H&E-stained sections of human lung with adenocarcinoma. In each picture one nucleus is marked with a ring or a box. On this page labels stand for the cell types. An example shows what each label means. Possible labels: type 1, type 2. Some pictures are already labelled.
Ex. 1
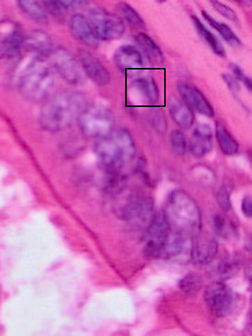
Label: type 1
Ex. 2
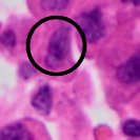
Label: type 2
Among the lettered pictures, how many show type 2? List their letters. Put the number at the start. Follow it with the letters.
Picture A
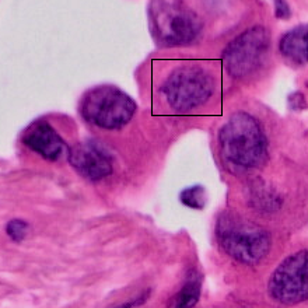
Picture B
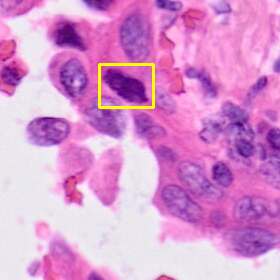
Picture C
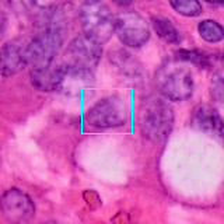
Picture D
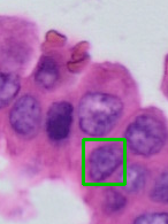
3: A, B, D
